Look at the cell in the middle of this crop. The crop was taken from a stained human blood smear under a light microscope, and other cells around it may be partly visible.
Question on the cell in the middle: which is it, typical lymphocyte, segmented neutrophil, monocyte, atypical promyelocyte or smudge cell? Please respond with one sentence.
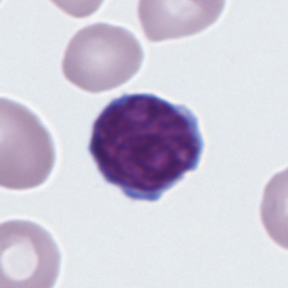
The cell sitting right in the middle is a typical lymphocyte.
